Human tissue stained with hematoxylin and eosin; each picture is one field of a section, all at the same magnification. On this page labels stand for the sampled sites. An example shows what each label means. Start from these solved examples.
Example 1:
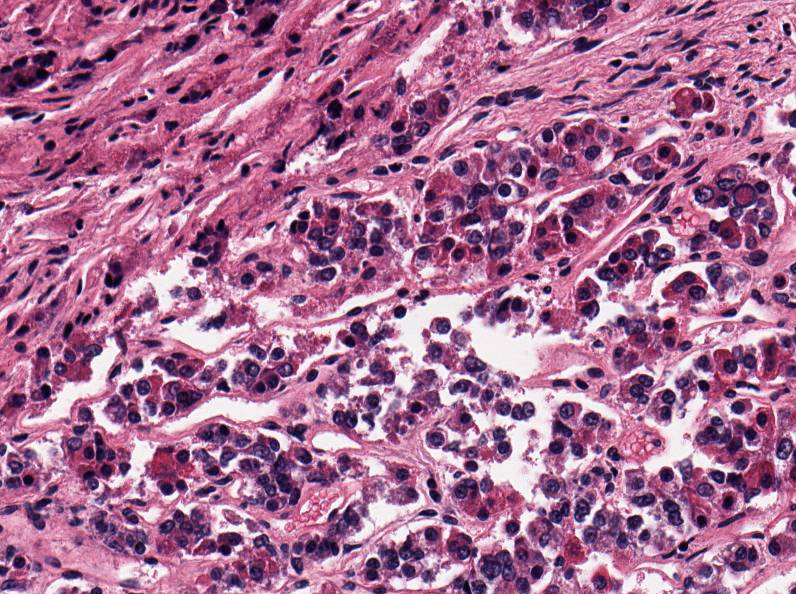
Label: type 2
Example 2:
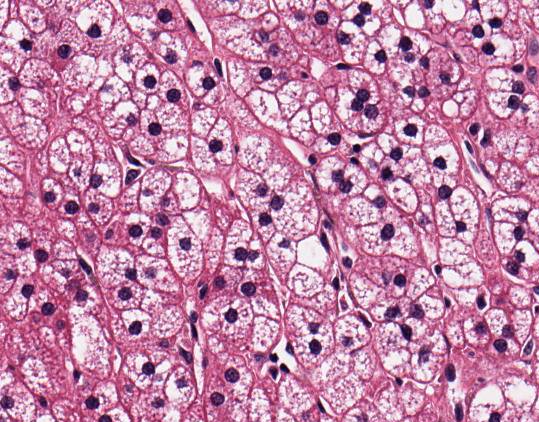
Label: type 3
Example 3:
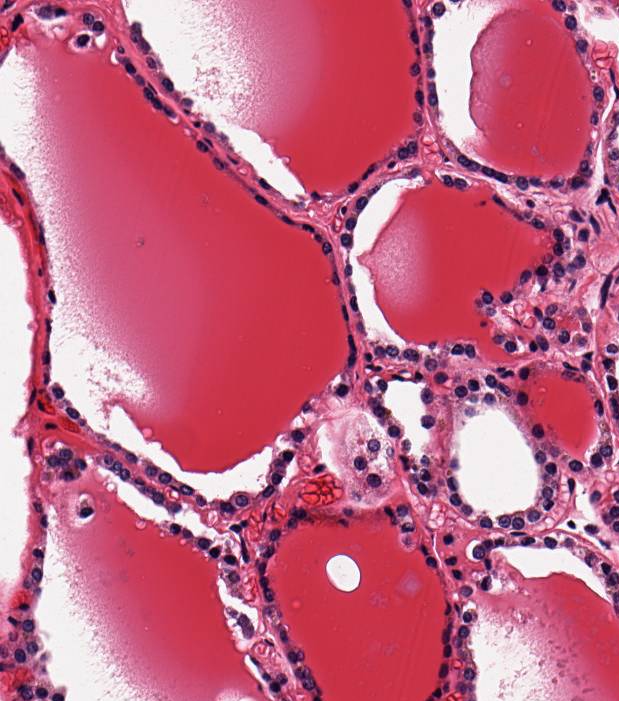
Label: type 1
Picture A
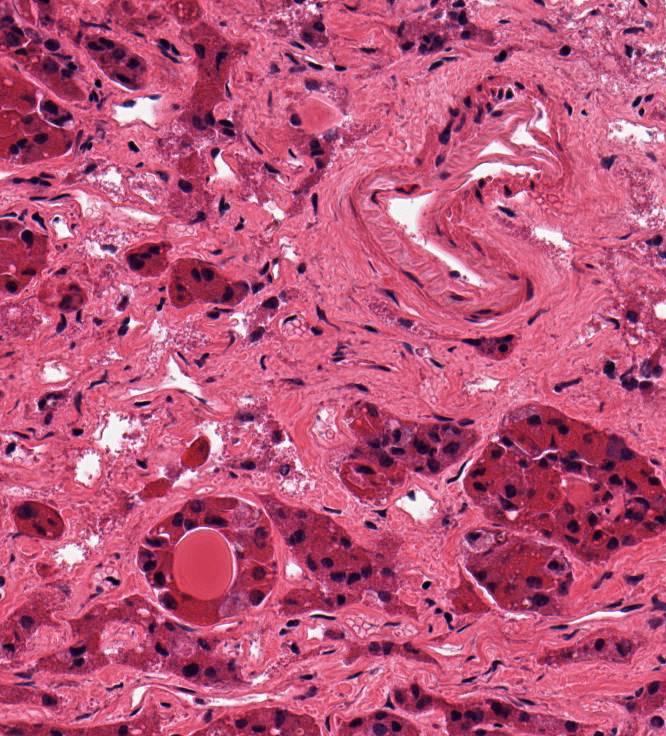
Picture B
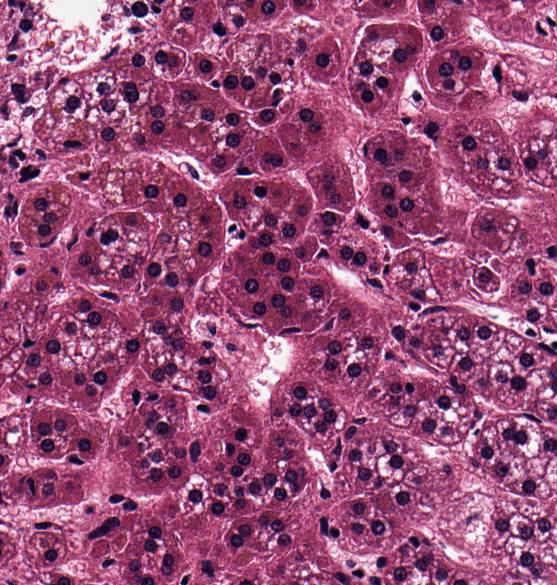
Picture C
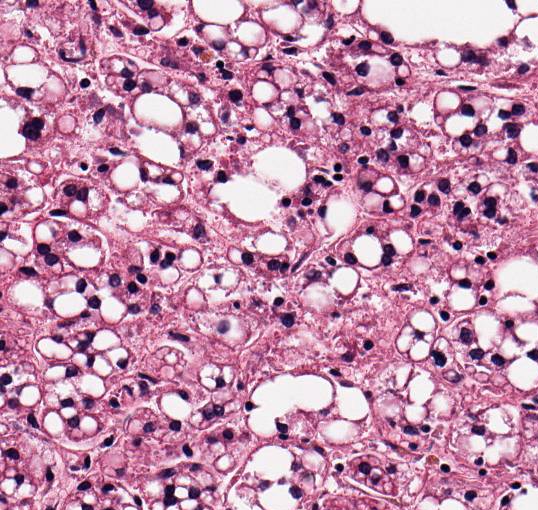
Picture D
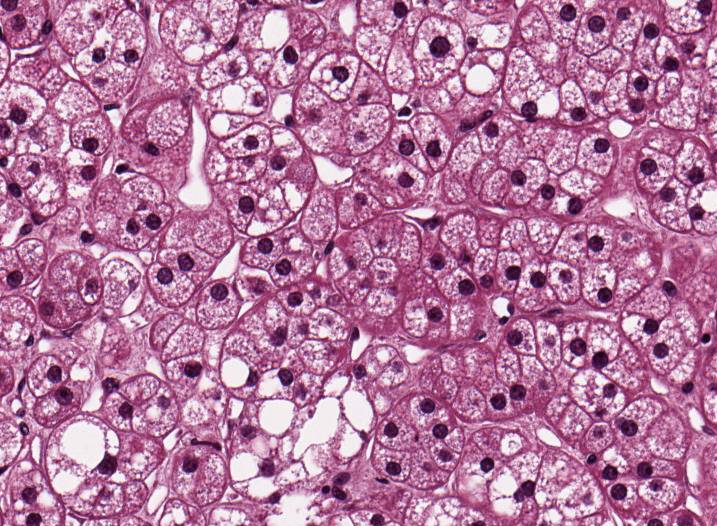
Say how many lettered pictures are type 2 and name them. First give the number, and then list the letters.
1: A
